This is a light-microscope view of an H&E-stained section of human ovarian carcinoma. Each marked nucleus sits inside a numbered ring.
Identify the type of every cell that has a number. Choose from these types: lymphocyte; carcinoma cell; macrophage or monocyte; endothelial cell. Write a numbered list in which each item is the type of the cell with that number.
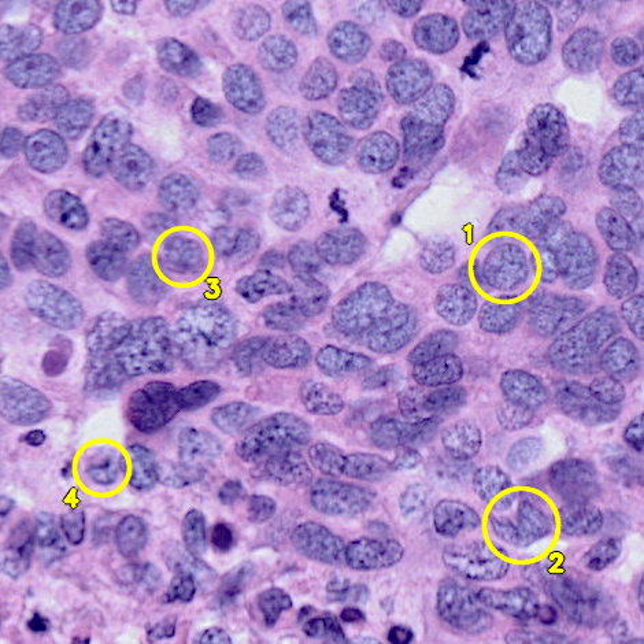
1. carcinoma cell
2. carcinoma cell
3. carcinoma cell
4. macrophage or monocyte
